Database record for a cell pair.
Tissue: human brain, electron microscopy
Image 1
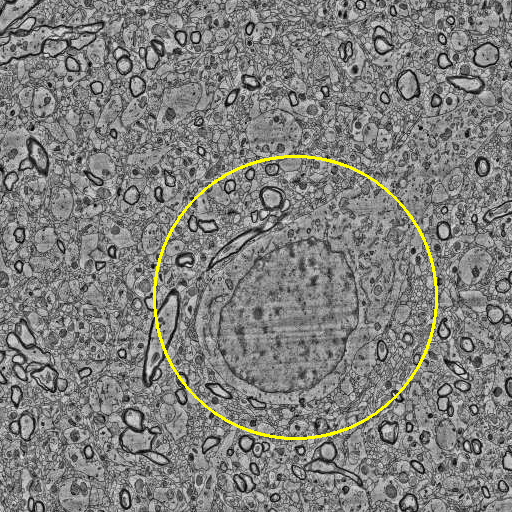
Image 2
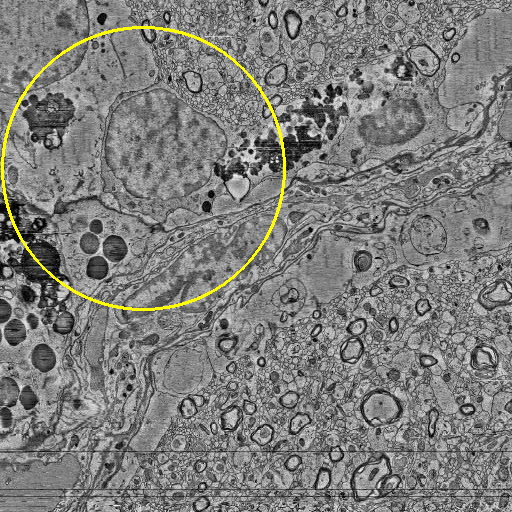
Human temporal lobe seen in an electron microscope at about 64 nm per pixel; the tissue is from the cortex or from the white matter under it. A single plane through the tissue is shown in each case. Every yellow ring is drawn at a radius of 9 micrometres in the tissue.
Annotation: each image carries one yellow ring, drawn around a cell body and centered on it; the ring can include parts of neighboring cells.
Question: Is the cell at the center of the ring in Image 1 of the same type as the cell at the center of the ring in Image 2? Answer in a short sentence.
No, the cells are of two types.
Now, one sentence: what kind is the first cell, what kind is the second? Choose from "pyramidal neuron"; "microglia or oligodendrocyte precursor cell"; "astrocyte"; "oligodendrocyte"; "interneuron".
The first picture has an interneuron at its ring centre, and the second has an oligodendrocyte.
